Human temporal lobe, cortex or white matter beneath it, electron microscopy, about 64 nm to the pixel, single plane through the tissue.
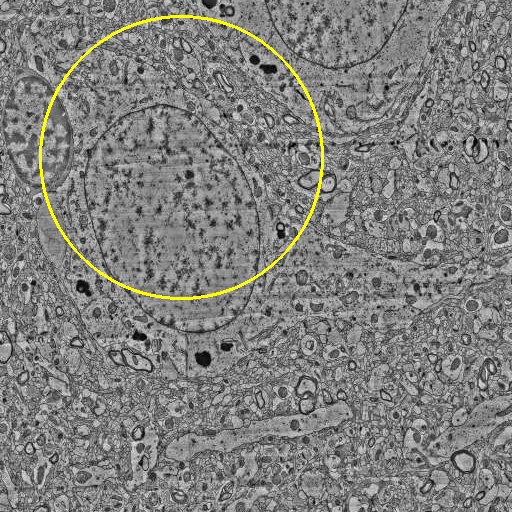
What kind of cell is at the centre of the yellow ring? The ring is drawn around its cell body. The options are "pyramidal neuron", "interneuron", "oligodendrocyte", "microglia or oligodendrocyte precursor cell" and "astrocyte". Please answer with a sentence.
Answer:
The yellow ring marks the cell body of a pyramidal neuron.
